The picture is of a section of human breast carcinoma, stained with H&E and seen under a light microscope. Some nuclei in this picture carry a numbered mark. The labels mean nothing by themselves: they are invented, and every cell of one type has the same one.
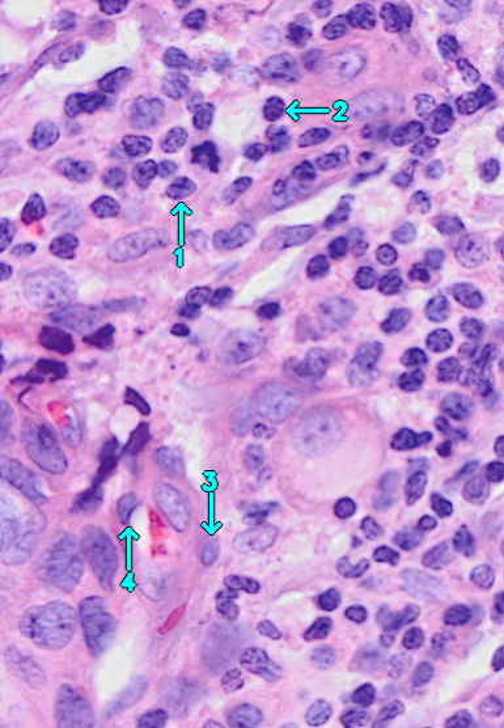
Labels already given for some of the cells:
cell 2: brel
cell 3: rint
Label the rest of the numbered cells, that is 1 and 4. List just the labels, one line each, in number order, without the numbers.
brel
rint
